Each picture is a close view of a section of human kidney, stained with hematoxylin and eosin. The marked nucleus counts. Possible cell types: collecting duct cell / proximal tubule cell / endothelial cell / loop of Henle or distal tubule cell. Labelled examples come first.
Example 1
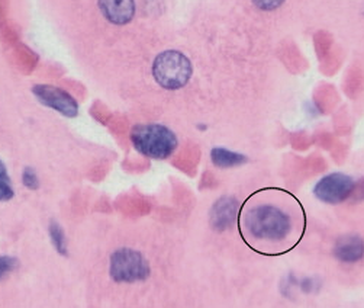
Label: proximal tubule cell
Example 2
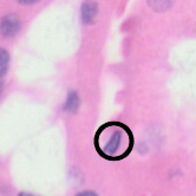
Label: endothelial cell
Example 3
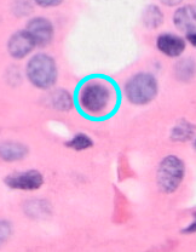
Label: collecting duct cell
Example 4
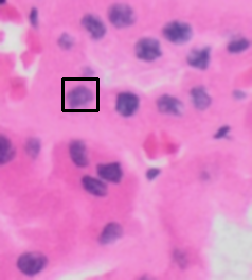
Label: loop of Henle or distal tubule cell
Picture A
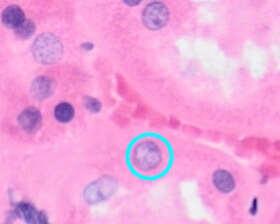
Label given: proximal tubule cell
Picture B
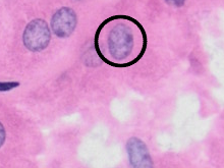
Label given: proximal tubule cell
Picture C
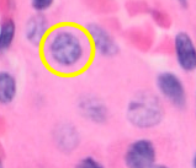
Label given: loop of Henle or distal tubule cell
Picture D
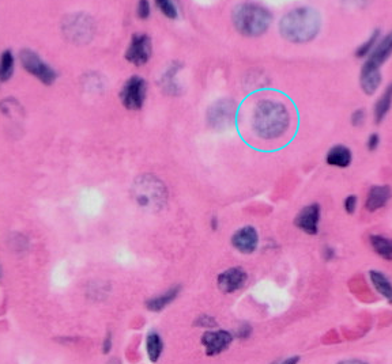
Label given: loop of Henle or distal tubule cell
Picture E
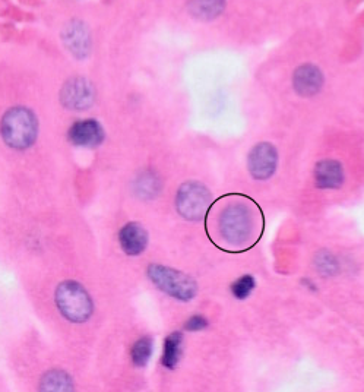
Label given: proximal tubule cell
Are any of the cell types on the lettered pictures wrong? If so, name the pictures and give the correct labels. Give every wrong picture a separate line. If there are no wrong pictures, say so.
None of the labels needs changing.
